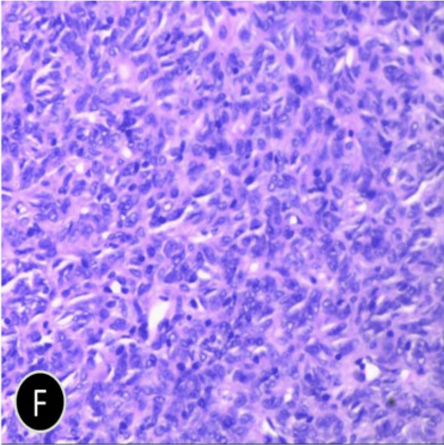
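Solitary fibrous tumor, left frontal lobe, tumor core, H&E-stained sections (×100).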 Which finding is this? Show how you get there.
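Nuclei are crowded closely together across the whole field. Little pink stroma separates the cells. No lobular or layered architecture breaks up the cell sheet. On this evidence: many dense, aggregated cells.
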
